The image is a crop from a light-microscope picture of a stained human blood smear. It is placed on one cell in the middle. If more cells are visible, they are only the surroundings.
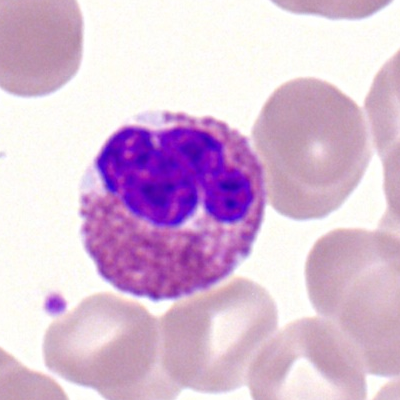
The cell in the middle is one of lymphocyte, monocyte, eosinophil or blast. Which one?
eosinophil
